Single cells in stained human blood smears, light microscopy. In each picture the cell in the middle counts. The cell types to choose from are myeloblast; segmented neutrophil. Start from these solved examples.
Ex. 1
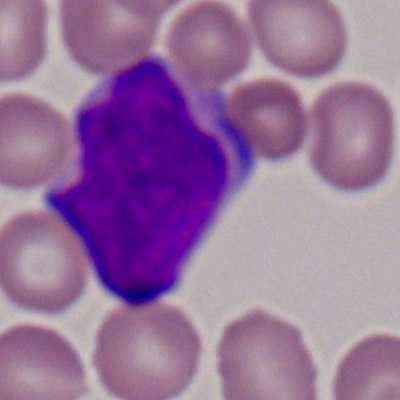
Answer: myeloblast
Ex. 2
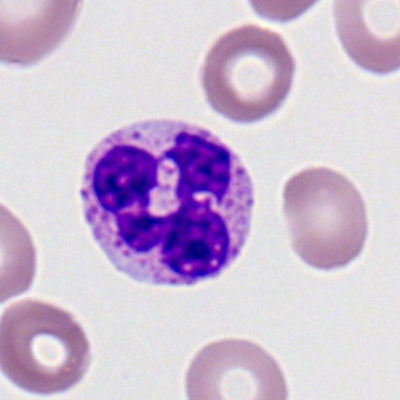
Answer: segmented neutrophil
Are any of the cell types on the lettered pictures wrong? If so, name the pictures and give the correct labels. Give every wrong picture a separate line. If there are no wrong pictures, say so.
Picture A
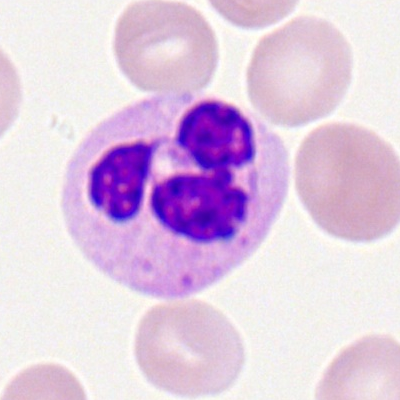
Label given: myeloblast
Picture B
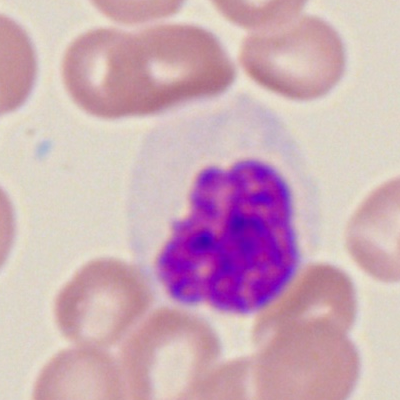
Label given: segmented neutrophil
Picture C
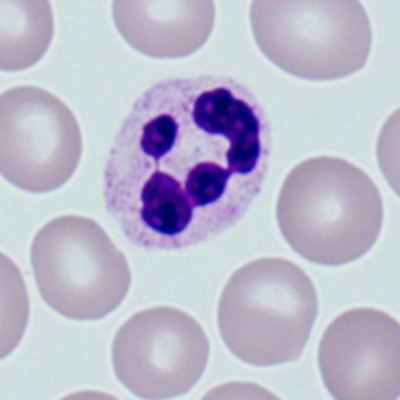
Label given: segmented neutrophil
A is labelled myeloblast; correct label: segmented neutrophil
